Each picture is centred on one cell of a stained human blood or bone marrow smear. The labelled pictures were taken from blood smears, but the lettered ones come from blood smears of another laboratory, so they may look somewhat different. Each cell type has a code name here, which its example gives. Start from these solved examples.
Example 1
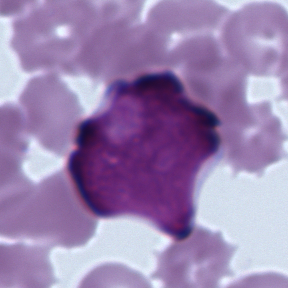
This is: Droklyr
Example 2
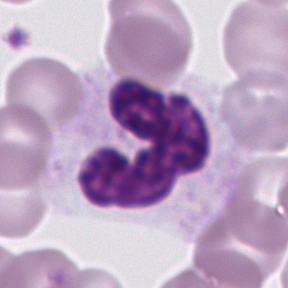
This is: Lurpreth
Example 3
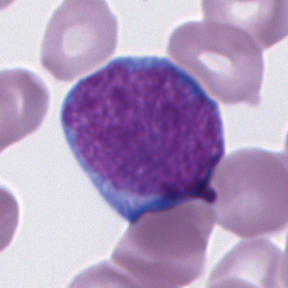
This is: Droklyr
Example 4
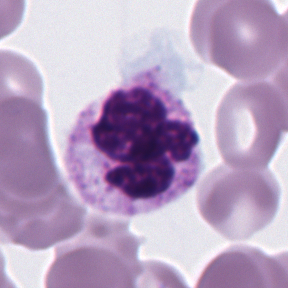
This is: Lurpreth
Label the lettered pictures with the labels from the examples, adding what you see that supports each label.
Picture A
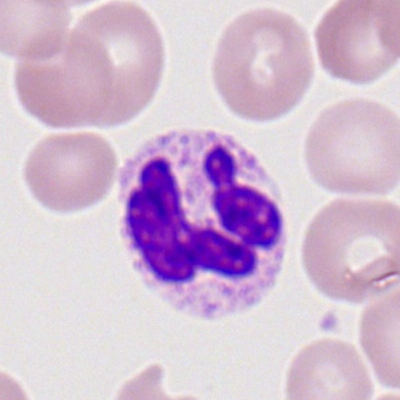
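Lurpreth: The nucleus is divided into several lobes.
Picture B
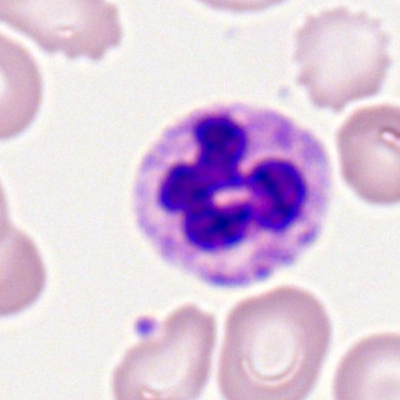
Lurpreth: The cytoplasm is abundant and pale pink-lilac.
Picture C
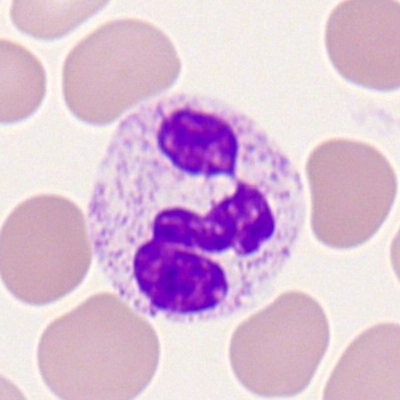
Lurpreth: The cytoplasm is abundant and pale pinkish-lilac.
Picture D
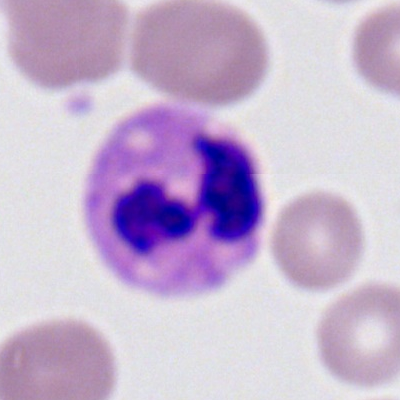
Lurpreth: The cytoplasm is plentiful and pale lilac.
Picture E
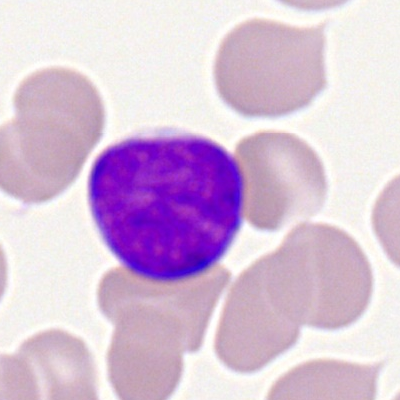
Droklyr: The nucleus is a single unlobed mass.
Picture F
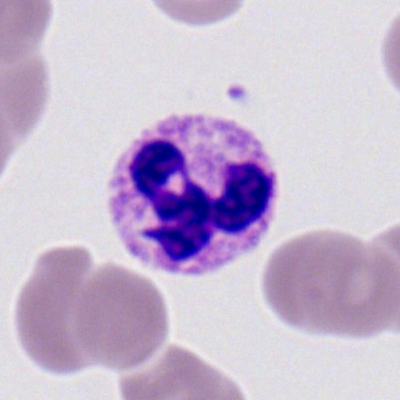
Lurpreth: The cytoplasm is plentiful and pale pink.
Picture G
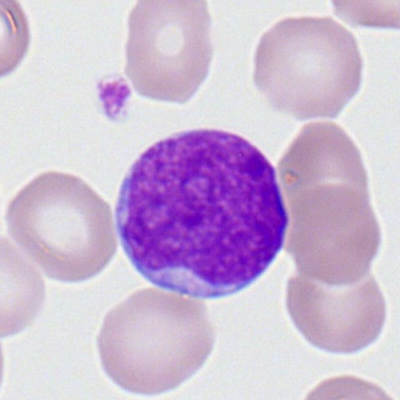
Droklyr: The cytoplasm is a scant rim that is widest at the bottom of the cell.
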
